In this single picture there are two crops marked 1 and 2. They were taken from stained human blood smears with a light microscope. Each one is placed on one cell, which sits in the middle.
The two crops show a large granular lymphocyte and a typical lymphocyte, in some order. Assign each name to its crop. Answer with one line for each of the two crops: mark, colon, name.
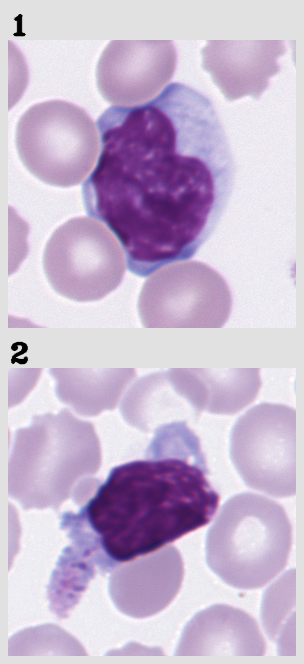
1: typical lymphocyte
2: large granular lymphocyte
